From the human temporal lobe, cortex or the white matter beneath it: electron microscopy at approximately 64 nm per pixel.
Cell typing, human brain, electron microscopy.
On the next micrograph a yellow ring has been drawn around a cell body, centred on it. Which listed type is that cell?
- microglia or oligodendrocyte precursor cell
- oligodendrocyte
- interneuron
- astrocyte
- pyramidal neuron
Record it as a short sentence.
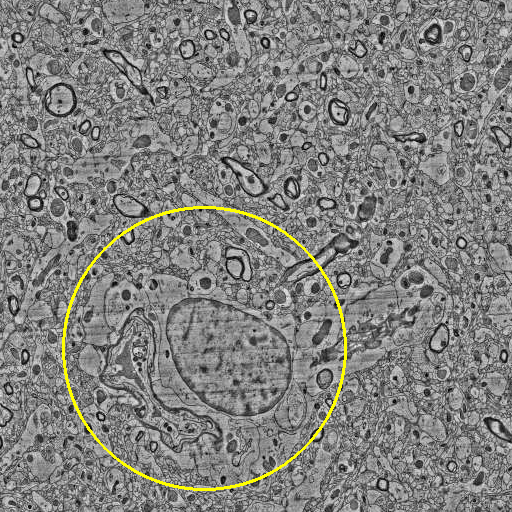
The cell body in the ring's centre belongs to a microglial cell or oligodendrocyte precursor cell.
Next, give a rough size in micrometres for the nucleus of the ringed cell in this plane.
The ringed cell's nucleus is about 9 micrometres long and 6 micrometres wide in this plane.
